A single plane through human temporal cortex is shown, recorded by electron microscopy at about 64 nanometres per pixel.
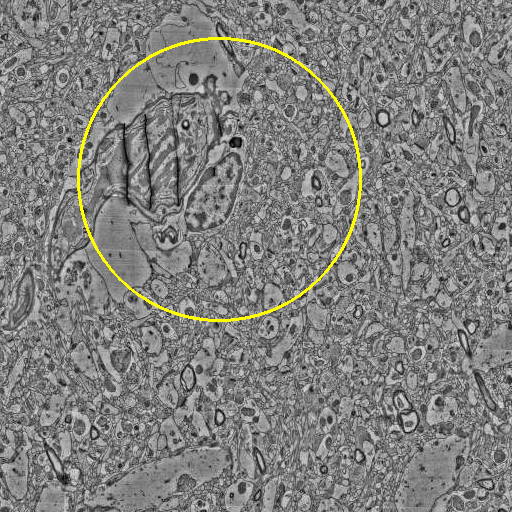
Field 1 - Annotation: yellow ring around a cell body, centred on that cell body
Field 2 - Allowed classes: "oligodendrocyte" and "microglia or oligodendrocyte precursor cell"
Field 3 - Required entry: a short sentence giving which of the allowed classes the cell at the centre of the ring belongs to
The centred cell is a microglial cell or oligodendrocyte precursor cell.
